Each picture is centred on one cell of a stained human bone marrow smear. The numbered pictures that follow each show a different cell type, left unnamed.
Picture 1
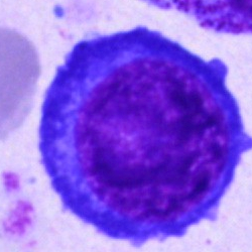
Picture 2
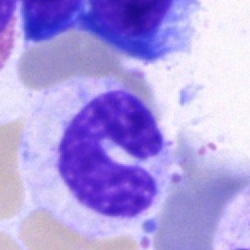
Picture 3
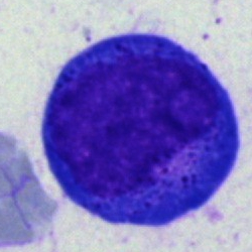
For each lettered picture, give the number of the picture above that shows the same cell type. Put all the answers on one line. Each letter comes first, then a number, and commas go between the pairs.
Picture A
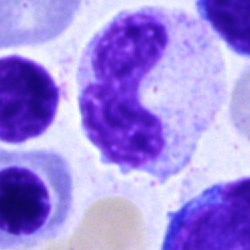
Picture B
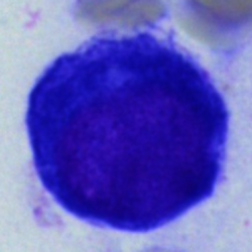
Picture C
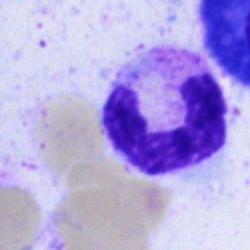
A 2, B 1, C 2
